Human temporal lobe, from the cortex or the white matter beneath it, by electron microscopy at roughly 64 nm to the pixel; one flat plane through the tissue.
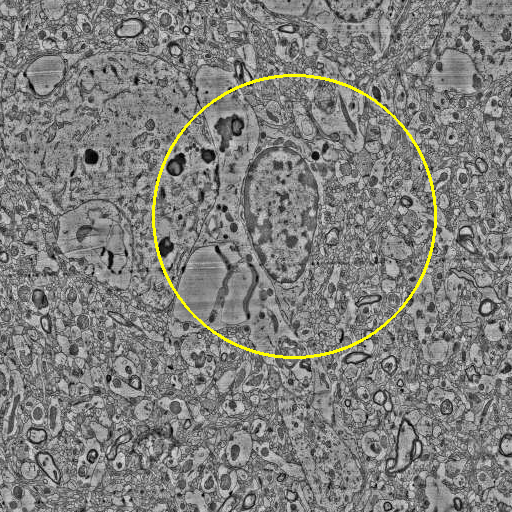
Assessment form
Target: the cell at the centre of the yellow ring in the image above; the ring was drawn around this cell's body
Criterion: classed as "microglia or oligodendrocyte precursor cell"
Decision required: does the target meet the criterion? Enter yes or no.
yes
